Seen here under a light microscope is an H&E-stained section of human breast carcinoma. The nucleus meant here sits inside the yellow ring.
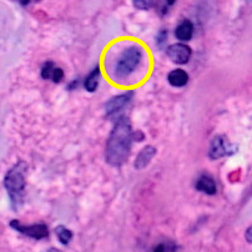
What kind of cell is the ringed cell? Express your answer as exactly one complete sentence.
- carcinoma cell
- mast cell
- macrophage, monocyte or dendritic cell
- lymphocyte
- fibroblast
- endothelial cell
Placed in its cell category, the ringed cell is a mast cell.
